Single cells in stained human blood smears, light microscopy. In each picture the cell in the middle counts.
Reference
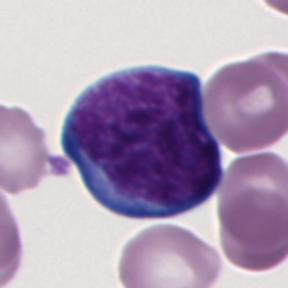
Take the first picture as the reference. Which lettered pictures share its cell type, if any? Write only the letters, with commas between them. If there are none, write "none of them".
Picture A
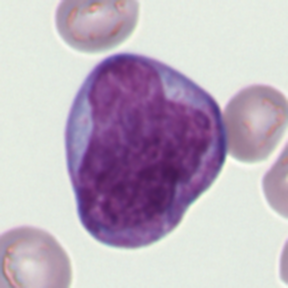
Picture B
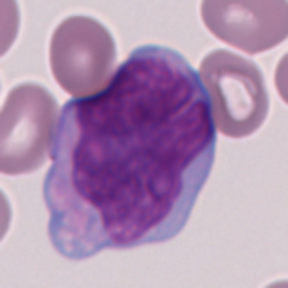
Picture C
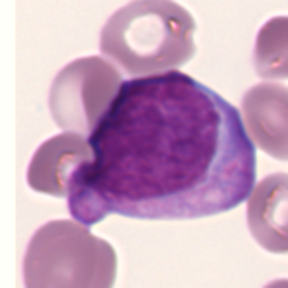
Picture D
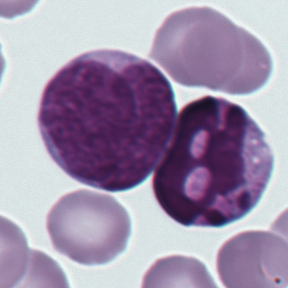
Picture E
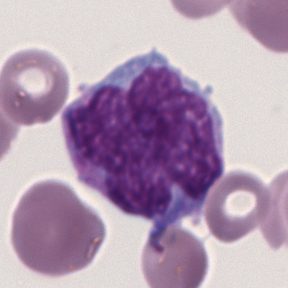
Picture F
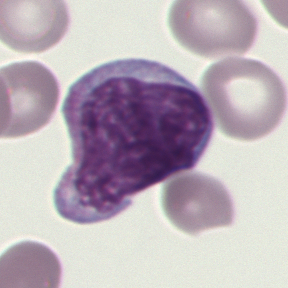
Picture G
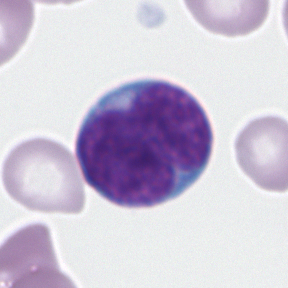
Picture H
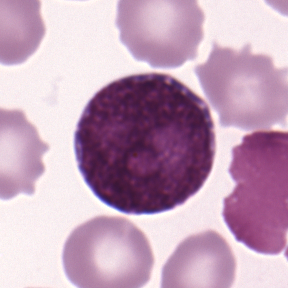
D, G, H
